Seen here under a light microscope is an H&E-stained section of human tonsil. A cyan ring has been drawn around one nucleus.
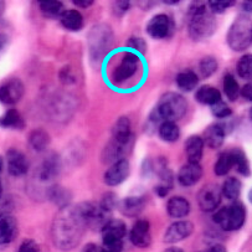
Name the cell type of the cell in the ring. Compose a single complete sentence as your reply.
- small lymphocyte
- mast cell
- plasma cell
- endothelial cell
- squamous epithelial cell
Students should answer that the cell in the ring is an endothelial cell.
